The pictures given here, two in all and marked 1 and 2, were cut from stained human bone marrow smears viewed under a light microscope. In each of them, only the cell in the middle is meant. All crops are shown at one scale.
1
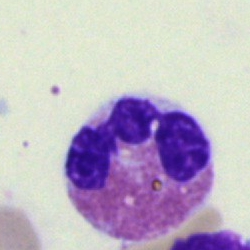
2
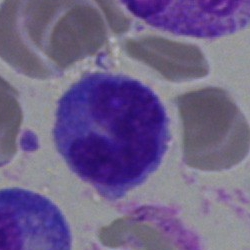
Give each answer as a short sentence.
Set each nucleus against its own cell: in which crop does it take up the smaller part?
Of the two, the nucleus in crop 1 leaves more room for cytoplasm.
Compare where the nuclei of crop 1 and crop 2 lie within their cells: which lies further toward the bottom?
In crop 2 the nucleus is shifted more toward the bottom.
